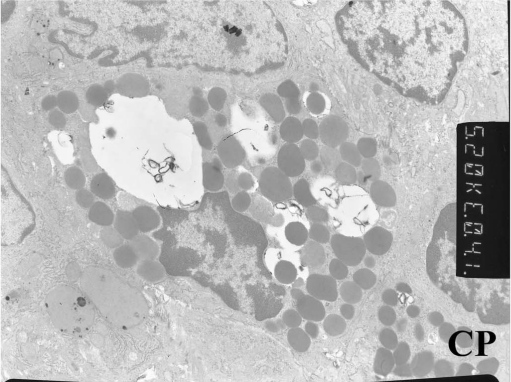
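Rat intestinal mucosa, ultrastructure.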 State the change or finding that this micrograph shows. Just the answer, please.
Abundant vacuolus.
